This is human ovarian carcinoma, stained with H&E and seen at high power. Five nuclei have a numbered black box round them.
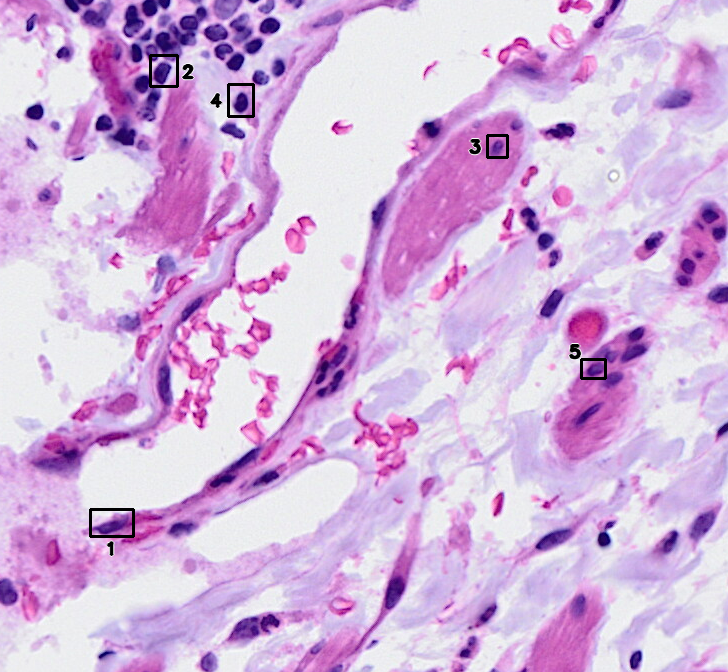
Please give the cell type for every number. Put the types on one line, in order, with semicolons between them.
endothelial cell; lymphocyte; smooth muscle cell; lymphocyte; smooth muscle cell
